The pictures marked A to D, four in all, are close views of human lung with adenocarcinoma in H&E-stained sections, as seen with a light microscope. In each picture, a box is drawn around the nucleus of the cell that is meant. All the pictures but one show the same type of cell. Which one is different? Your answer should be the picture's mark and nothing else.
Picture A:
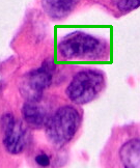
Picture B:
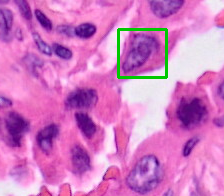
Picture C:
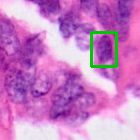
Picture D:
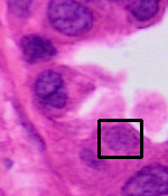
C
